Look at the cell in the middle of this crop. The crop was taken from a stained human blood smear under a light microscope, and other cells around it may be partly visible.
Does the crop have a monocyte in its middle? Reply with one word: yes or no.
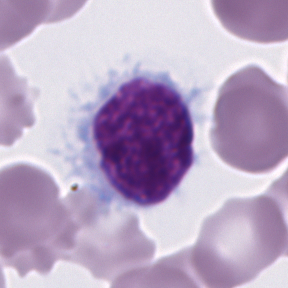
no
